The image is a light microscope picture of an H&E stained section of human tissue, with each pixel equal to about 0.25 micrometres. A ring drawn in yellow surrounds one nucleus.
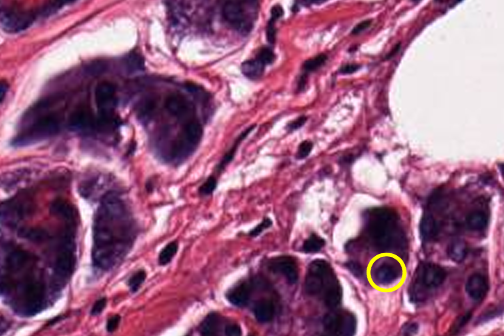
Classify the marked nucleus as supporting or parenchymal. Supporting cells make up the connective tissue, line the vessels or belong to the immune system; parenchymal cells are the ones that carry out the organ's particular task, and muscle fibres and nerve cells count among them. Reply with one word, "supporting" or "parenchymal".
parenchymal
